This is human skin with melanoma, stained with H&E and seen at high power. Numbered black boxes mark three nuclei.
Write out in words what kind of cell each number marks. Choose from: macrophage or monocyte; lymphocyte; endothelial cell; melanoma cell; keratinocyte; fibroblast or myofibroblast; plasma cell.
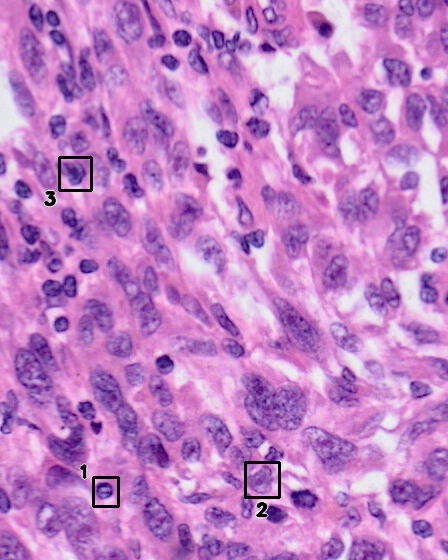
Cell 1 is a lymphocyte, cell 2 is a melanoma cell and cell 3 is a lymphocyte.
